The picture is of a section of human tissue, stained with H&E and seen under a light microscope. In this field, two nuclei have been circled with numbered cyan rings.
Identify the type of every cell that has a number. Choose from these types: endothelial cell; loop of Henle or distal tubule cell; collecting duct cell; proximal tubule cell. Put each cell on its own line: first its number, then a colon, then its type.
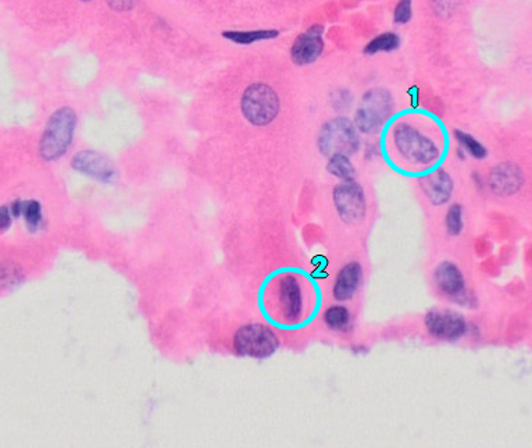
1: collecting duct cell
2: proximal tubule cell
